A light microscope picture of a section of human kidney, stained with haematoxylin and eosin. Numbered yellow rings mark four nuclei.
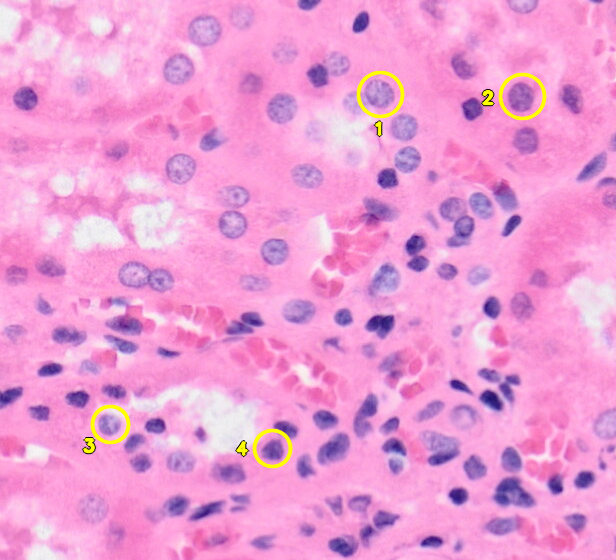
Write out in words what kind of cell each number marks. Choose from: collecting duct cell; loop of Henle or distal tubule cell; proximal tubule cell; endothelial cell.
Cells 1, 3 and 4 are loop of Henle or distal tubule cells. Cell 2 is a proximal tubule cell.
